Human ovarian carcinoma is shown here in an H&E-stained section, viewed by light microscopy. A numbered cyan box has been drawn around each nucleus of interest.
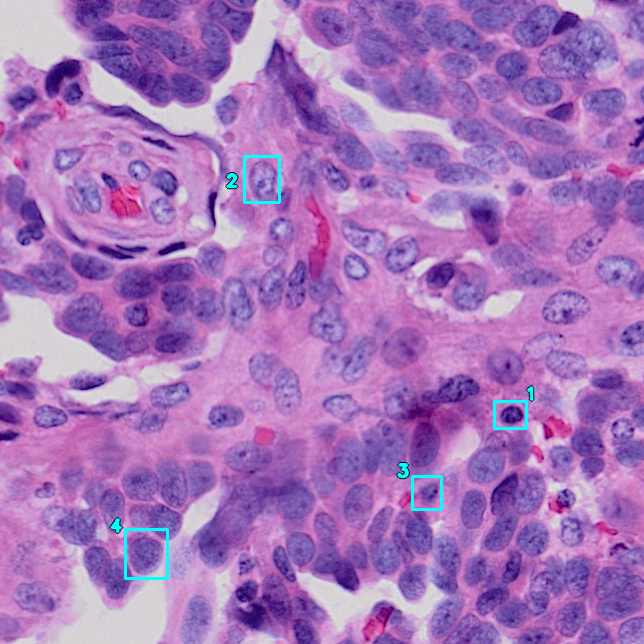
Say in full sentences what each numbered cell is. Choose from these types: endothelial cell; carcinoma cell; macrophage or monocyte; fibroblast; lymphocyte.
Cell 1 is a lymphocyte, cell 2 is a fibroblast, cell 3 is a macrophage or monocyte and cell 4 is a carcinoma cell.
